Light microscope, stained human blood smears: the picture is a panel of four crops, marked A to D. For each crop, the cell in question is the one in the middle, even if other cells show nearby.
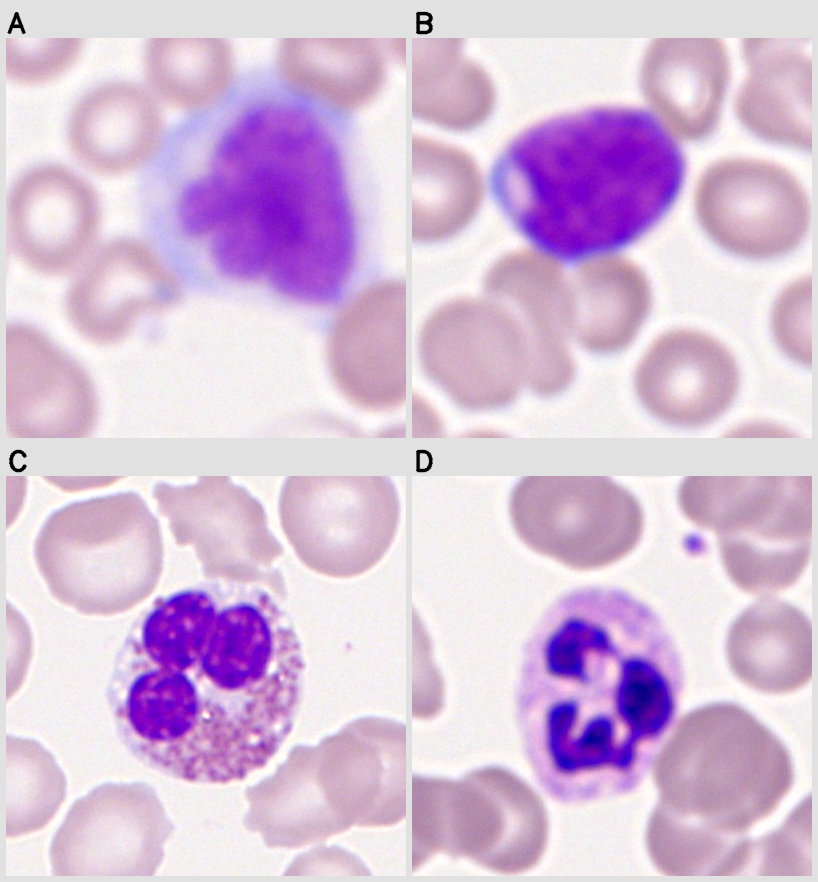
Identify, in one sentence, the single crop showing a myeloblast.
Crop B is where a myeloblast is shown.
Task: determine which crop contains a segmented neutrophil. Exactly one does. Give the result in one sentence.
Crop D is where a segmented neutrophil is to be found.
